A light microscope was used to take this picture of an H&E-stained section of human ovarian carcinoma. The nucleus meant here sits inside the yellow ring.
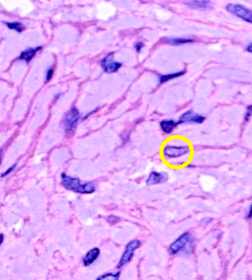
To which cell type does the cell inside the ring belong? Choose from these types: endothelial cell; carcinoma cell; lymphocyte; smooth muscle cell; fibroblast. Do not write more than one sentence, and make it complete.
Among the cells in this section, the cell inside the ring is a fibroblast.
